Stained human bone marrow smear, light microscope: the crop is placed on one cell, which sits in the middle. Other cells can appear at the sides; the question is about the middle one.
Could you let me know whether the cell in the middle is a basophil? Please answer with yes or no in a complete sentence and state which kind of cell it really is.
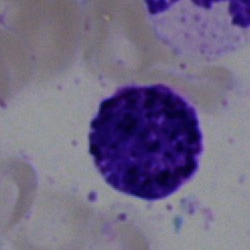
Yes, the middle cell of the field is a basophil.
